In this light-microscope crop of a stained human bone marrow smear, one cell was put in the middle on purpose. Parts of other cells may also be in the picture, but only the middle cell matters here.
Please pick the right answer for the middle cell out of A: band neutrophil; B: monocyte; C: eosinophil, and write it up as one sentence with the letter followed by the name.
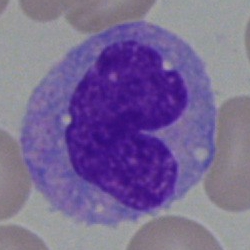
Correctly, option B names the cell in the middle a monocyte.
